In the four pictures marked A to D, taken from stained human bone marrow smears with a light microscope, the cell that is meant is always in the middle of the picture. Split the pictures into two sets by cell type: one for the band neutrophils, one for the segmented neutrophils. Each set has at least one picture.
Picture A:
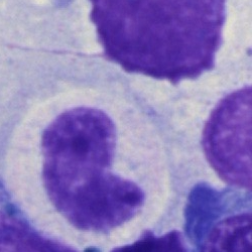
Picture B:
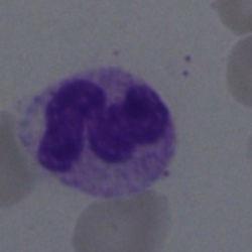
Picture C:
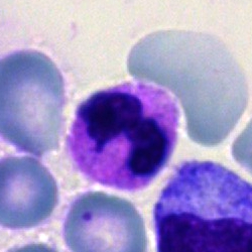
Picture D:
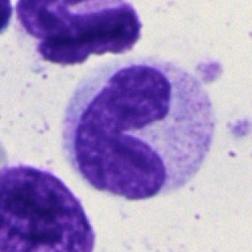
A: band neutrophil
B: segmented neutrophil
C: segmented neutrophil
D: band neutrophil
